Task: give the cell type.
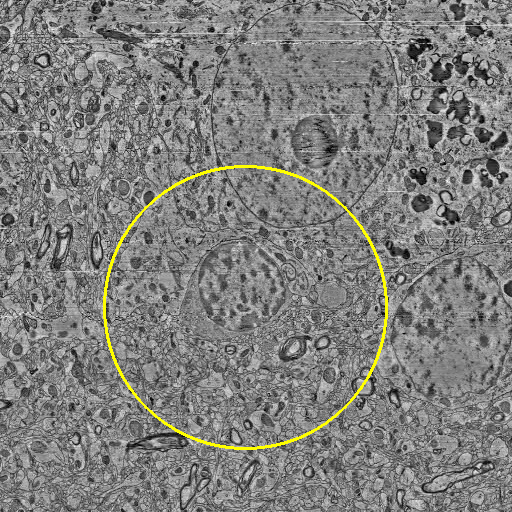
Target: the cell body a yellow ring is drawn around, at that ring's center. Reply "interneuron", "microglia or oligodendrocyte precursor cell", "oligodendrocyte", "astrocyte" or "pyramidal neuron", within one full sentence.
In this picture, the cell whose body lies at the ring's center is an oligodendrocyte.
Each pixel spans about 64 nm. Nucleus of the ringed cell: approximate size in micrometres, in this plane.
In this plane, approximately 6 micrometres across.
